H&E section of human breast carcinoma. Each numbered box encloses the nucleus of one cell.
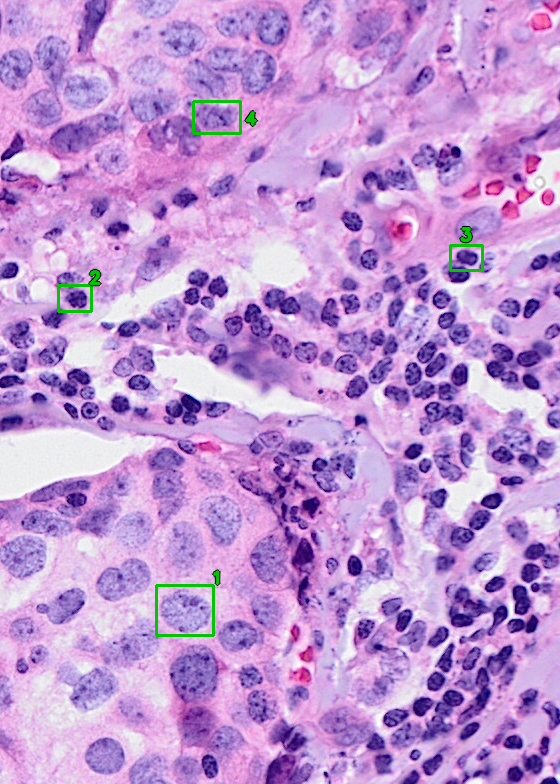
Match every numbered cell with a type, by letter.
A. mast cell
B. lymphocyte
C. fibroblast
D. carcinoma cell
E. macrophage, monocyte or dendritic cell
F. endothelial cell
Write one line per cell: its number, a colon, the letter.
1: D
2: B
3: B
4: D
